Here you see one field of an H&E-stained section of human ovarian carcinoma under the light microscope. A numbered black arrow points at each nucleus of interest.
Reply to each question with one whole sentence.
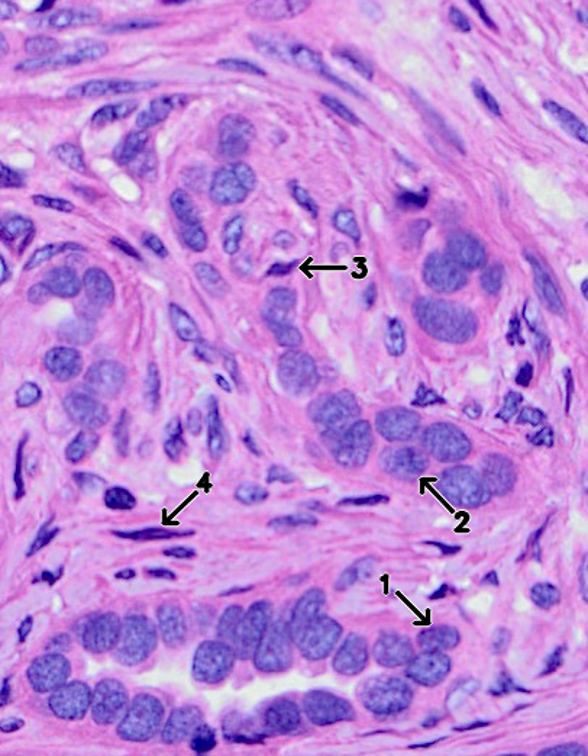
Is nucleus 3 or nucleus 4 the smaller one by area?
Nucleus 3 covers less area, with nucleus 4 about 2 times as large.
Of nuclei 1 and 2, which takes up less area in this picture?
Nucleus 1 is the smaller one; nucleus 2 covers about 1.5 times its area.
